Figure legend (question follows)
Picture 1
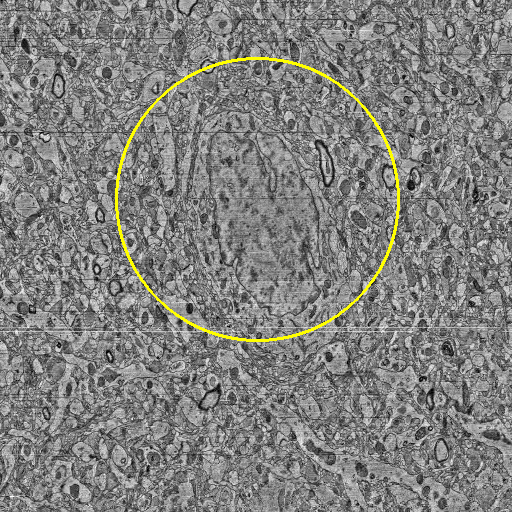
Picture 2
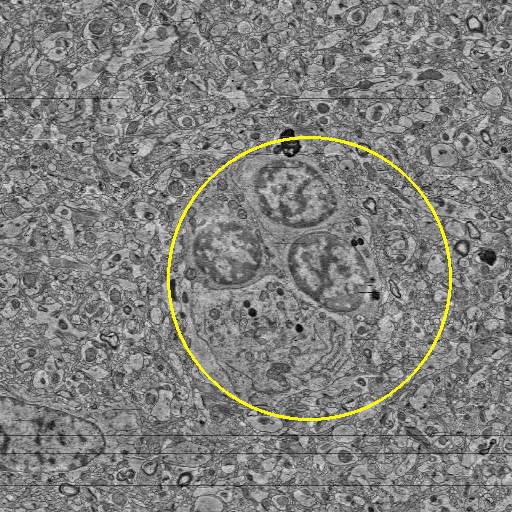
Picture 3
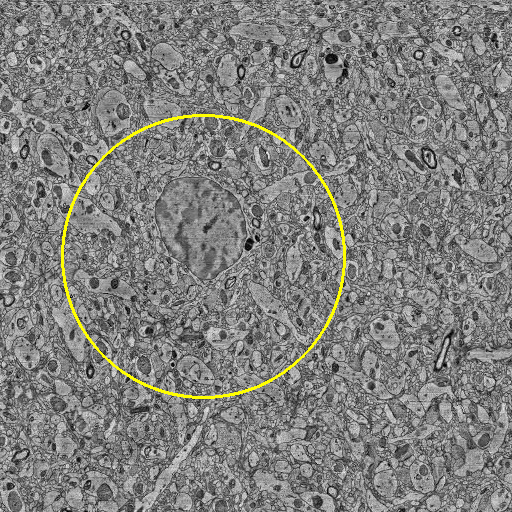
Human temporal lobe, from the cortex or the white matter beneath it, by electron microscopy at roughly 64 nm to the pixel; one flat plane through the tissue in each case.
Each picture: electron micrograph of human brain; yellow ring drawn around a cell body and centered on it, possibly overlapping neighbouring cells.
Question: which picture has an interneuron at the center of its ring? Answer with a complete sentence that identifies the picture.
Picture 1 has it at the center of its ring.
